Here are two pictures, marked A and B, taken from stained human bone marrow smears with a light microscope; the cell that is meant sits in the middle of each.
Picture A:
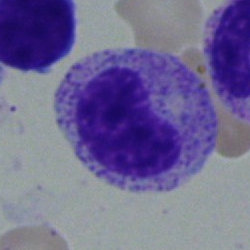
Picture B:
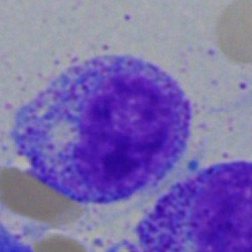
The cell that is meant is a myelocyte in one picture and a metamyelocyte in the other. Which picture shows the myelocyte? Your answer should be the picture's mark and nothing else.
B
